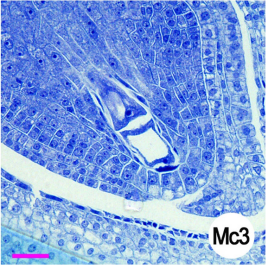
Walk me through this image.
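The nucellus consists of small, densely stained cells with darker nuclei, and the integuments form thin layered bands along the edge, separated from neighbouring tissue by pale clefts. In the centre, an elongated cavity is divided into two pale, largely vacuolated compartments stacked along the ovule axis, separated by a transverse band of darker cytoplasm. The compartments are much paler than the surrounding tightly packed nucellar cells.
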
